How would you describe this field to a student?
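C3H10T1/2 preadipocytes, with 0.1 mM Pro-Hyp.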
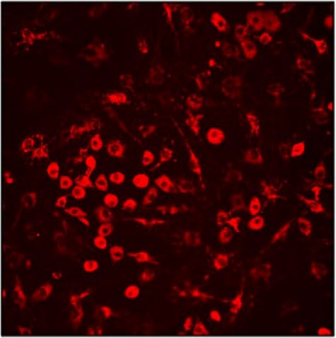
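Many cells appear rounded or polygonal, with the red signal filling the cytoplasm around a darker central region where the nucleus lies. Other cells are elongated or spindle-shaped and extend thin red processes across the field. The cells are scattered unevenly, with a dense cluster of brightly stained rounded cells near the centre and sparser, flatter cells toward the edges. The intensity of the red staining varies from cell to cell, with the rounded cells in the cluster among the brightest.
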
